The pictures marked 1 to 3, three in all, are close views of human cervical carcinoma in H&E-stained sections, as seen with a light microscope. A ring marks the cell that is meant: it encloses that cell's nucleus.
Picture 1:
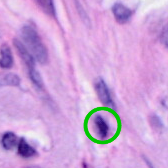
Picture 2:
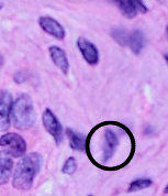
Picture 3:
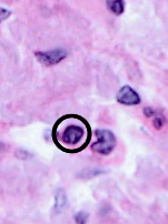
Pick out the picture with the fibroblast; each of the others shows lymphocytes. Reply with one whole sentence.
It is picture 2 that shows the fibroblast.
